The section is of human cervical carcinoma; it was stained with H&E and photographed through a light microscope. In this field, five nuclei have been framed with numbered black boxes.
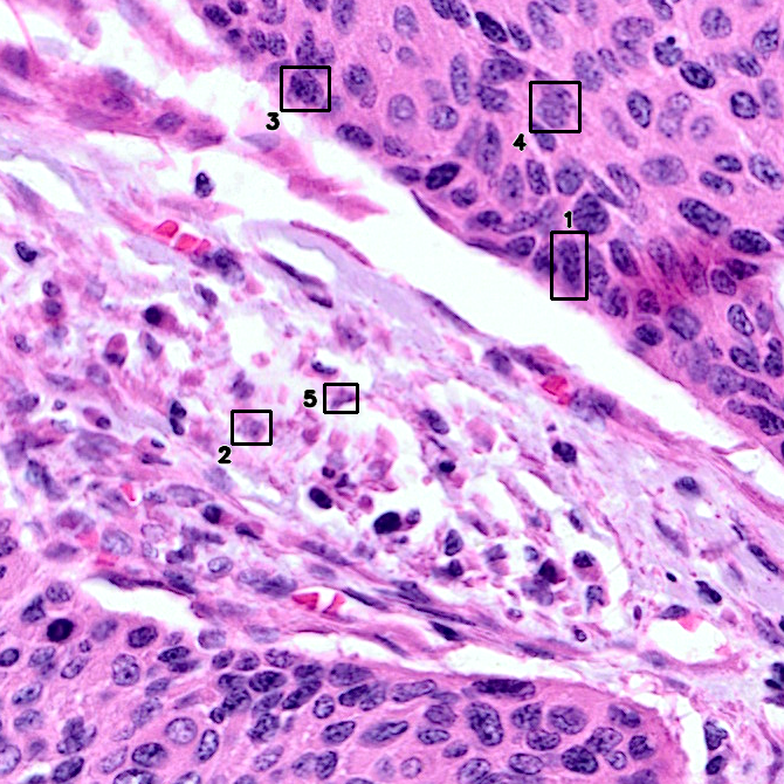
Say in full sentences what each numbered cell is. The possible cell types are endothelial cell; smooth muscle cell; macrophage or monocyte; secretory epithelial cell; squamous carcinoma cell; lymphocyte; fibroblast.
Cell 1 is a squamous carcinoma cell, cell 2 is a fibroblast, cell 3 is a squamous carcinoma cell, cell 4 is a squamous carcinoma cell and cell 5 is a fibroblast.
